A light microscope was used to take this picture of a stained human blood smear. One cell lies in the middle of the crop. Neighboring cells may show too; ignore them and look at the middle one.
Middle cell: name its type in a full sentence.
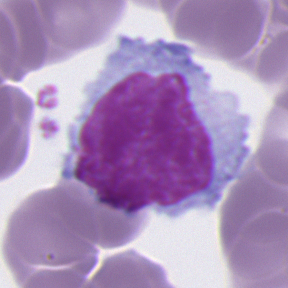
Whatever else lies nearby, the middle cell is a monocyte.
